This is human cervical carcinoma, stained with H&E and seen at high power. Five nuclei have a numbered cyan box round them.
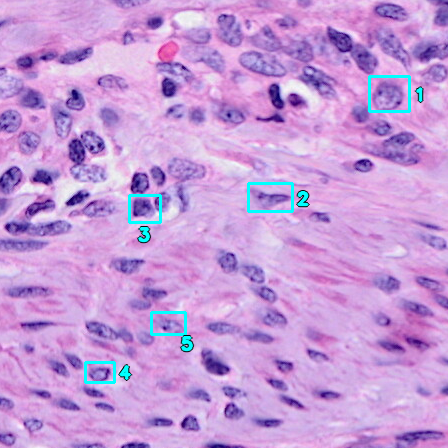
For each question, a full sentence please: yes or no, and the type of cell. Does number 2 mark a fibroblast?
Yes, number 2 is assigned to a cell that is a fibroblast.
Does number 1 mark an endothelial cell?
Yes, to put it simply, cell number 1 is an endothelial cell.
